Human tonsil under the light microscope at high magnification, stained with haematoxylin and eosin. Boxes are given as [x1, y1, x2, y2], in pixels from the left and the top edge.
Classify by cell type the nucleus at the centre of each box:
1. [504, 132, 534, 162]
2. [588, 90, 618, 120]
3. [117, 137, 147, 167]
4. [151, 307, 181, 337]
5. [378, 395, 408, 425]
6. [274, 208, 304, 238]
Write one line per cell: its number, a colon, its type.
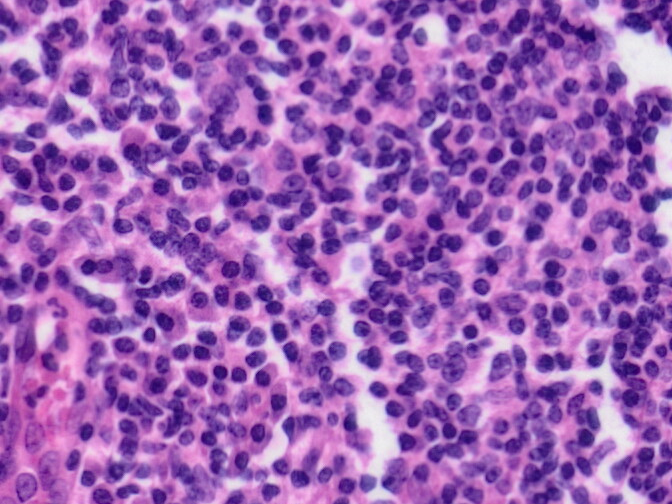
1: small lymphocyte
2: small lymphocyte
3: plasma cell
4: plasma cell
5: small lymphocyte
6: small lymphocyte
